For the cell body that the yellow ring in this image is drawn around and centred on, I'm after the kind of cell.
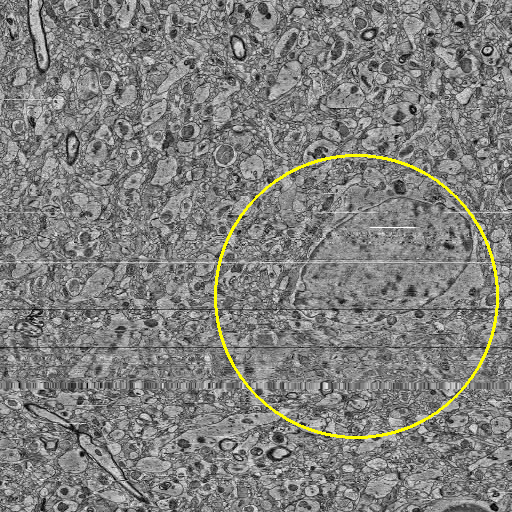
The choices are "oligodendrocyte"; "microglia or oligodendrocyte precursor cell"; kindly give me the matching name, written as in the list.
microglia or oligodendrocyte precursor cell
